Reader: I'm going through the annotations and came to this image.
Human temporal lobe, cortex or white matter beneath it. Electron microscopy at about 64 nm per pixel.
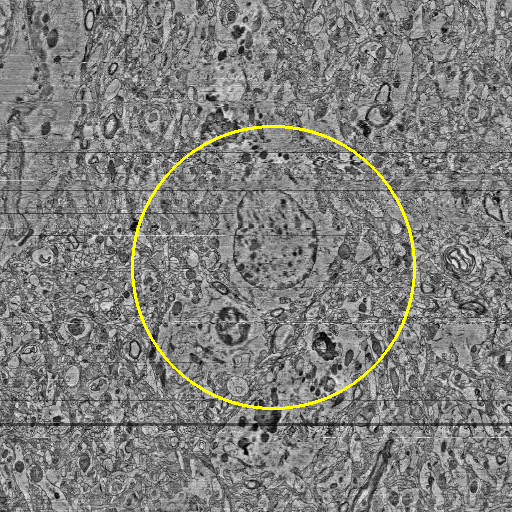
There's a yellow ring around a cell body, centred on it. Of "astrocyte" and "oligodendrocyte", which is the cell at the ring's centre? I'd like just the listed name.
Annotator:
astrocyte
